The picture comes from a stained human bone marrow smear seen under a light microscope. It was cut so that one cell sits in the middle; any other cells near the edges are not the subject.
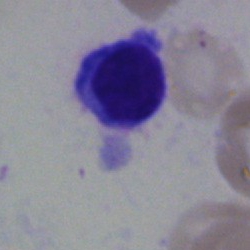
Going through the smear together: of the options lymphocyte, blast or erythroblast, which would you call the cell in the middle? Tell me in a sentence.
The cell featured at the centre of this crop is a lymphocyte.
